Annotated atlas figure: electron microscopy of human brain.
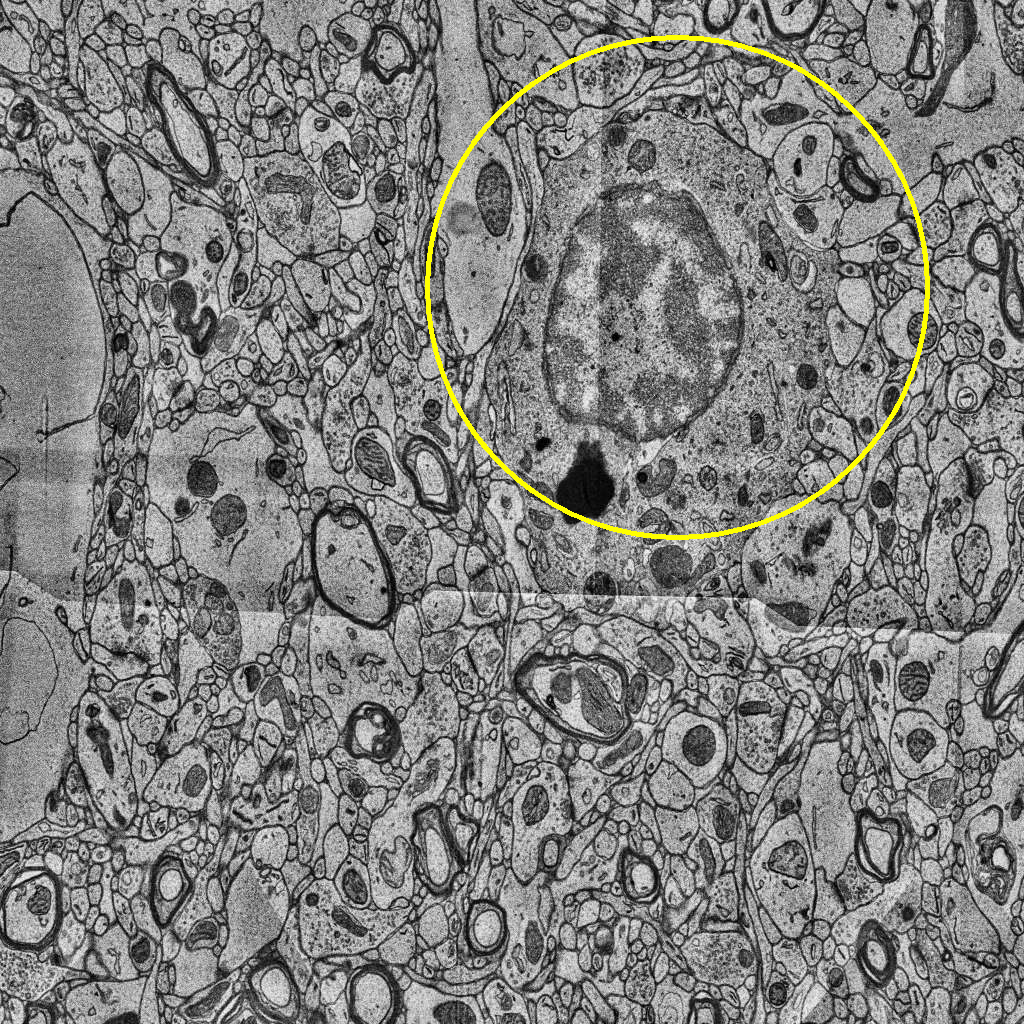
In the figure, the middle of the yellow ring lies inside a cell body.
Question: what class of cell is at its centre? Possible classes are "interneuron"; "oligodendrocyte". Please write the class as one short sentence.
The yellow ring's centre lies in an oligodendrocyte.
